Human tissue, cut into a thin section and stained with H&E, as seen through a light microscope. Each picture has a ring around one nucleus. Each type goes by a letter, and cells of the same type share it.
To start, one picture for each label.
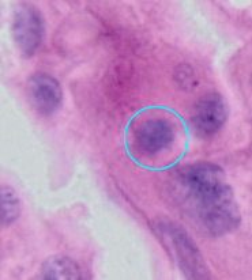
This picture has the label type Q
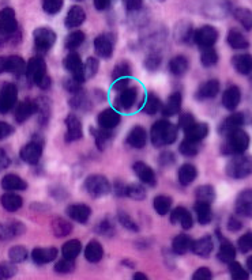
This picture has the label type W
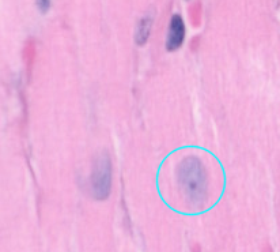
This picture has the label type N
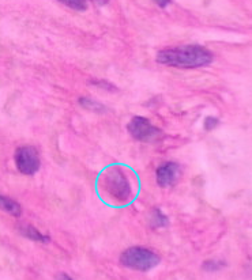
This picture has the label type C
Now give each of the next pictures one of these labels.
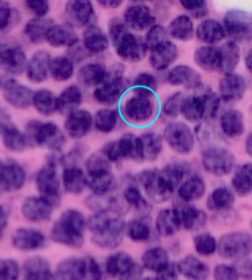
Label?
type W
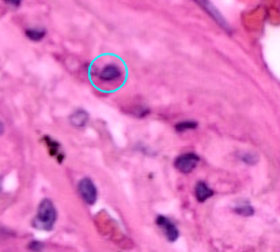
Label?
type C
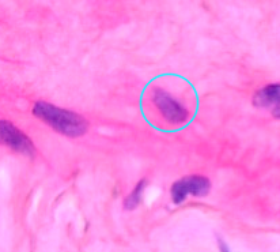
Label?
type C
